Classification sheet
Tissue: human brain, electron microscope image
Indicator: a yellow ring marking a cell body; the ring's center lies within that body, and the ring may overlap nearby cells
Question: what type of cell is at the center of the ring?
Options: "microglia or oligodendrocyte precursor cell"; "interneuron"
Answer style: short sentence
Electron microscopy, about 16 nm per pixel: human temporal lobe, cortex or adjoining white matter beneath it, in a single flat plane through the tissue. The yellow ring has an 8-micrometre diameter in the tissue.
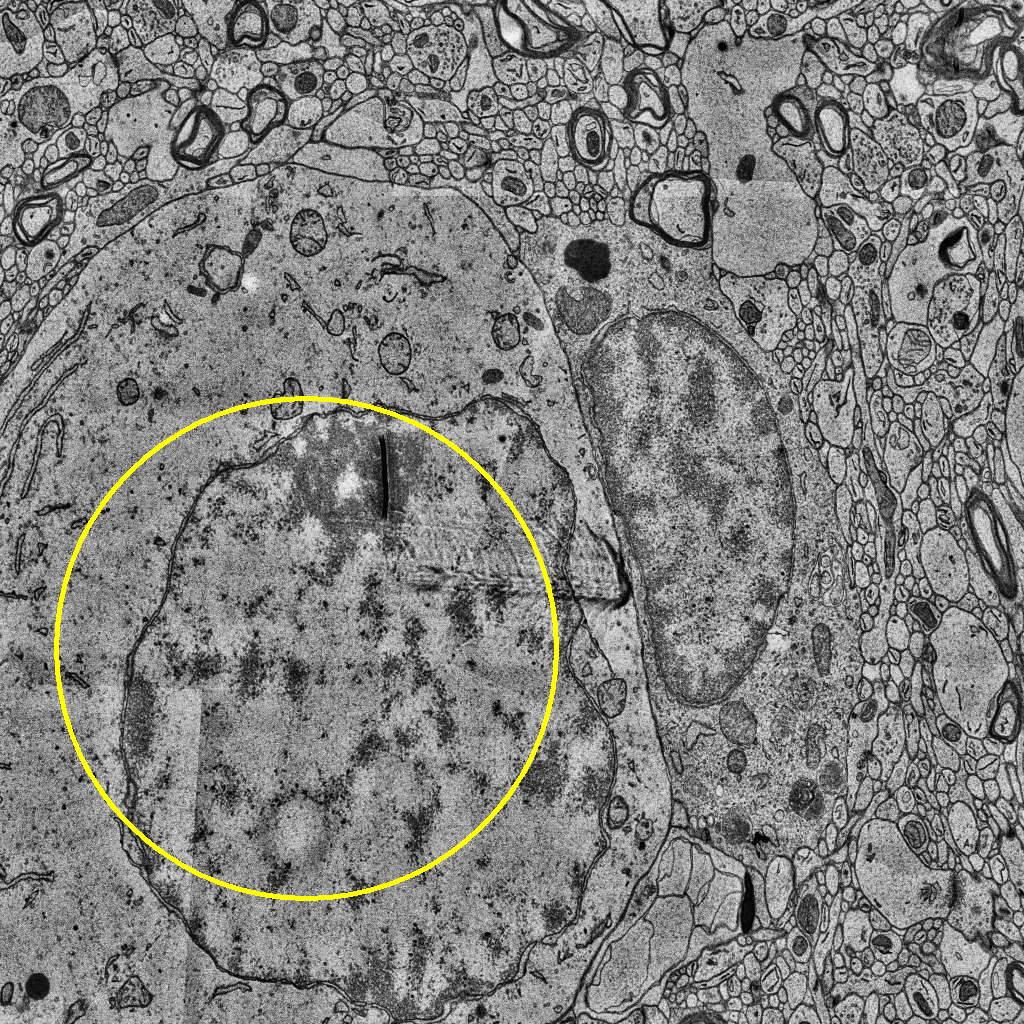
At the ring's center is an interneuron.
